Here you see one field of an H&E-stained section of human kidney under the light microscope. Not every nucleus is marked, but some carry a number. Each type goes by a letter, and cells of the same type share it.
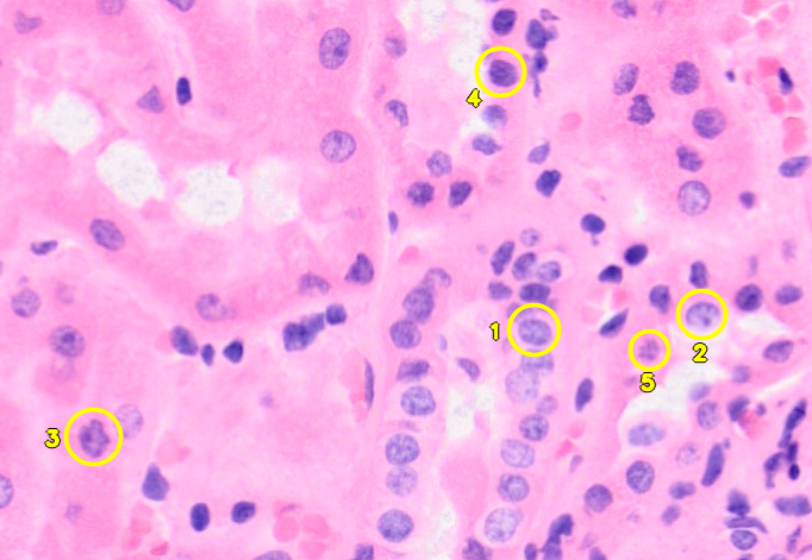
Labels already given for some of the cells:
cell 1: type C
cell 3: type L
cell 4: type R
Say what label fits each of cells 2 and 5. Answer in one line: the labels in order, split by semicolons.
type R; type R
